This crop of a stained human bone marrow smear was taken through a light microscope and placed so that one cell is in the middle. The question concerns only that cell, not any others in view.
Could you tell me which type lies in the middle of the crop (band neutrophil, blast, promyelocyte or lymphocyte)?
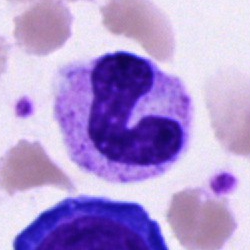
band neutrophil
